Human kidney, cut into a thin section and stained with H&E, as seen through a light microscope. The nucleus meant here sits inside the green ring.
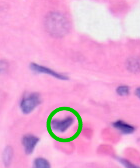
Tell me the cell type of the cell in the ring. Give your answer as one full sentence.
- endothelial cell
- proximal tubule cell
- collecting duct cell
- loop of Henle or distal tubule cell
The cell in the ring appears to be an endothelial cell.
